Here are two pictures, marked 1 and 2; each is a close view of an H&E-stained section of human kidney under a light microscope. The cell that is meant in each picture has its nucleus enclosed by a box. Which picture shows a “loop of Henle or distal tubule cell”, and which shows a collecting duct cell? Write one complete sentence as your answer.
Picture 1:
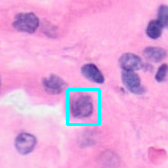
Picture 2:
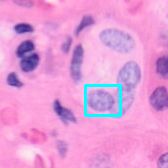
Picture 1 is of a “loop of Henle or distal tubule cell”, and picture 2 is of a collecting duct cell.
